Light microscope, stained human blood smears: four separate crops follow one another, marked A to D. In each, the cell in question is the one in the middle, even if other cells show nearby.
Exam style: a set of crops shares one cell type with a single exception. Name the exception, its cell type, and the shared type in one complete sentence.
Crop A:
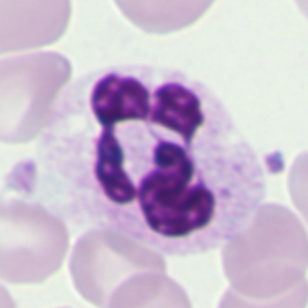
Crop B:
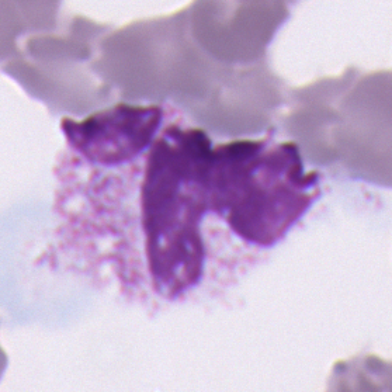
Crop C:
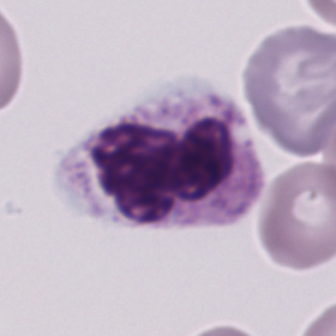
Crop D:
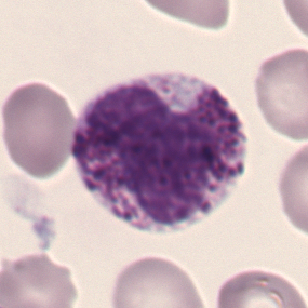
The set is made up of segmented neutrophils, with the single exception of crop D, which is a basophil.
